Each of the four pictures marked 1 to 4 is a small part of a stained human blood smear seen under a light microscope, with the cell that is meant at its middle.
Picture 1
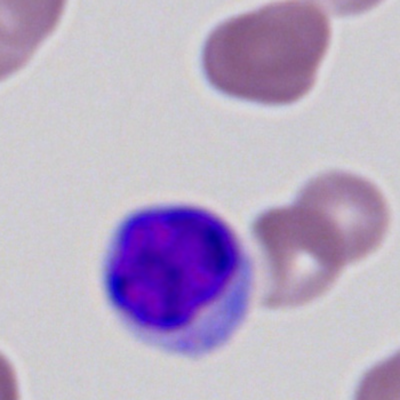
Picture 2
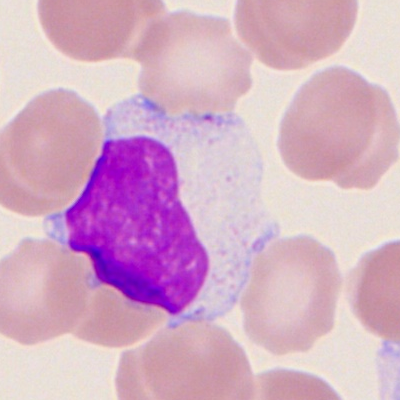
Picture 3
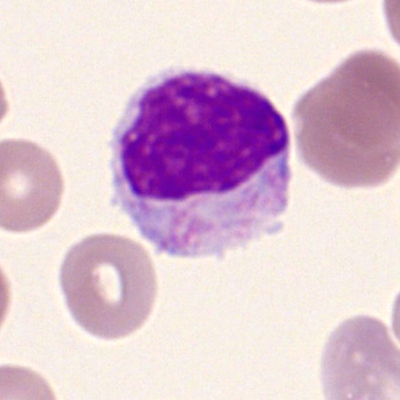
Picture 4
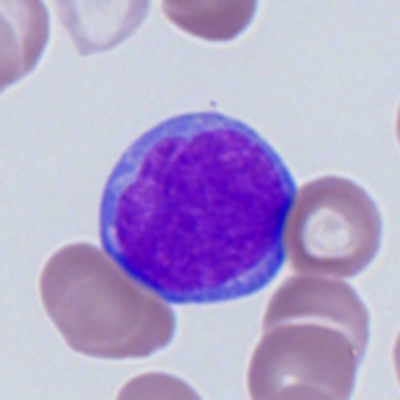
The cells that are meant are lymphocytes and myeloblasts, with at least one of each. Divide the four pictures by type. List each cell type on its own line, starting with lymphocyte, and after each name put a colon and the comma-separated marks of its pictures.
lymphocyte: 1, 2, 3
myeloblast: 4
